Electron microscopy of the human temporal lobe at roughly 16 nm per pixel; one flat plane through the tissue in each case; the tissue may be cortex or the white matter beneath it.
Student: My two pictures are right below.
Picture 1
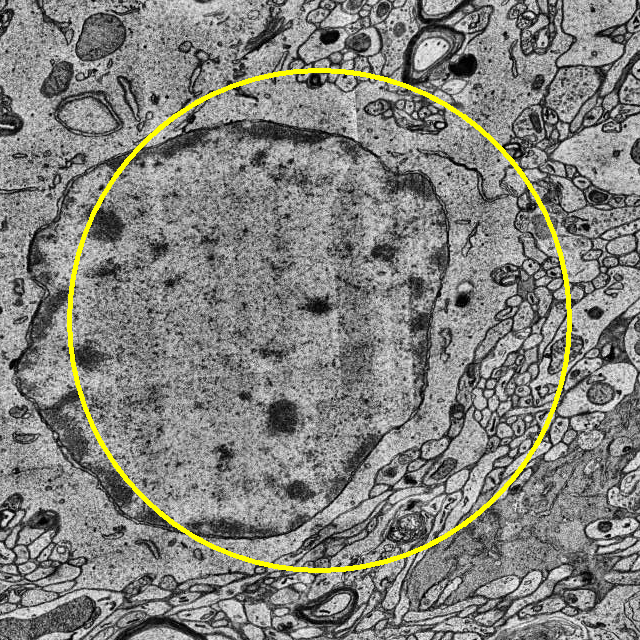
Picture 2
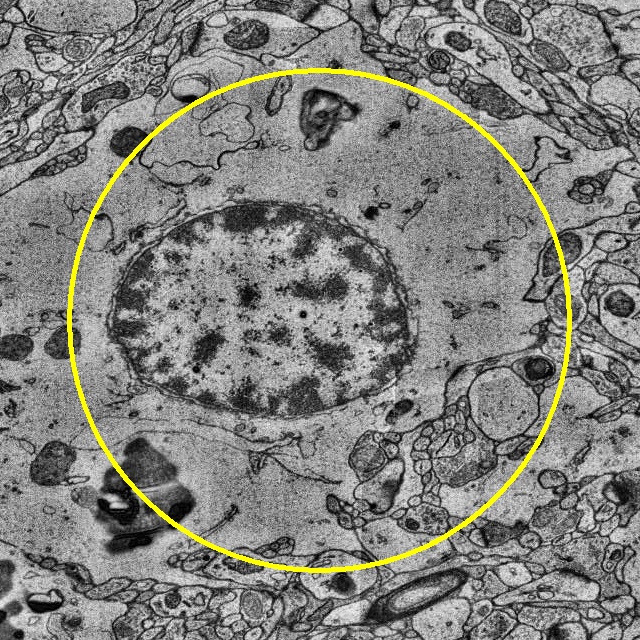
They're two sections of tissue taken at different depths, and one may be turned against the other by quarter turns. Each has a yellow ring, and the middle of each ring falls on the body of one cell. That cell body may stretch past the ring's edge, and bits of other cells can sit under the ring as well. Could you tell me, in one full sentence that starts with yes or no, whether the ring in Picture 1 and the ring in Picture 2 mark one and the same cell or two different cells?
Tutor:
No, the yellow rings mark two separate cells, not one.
